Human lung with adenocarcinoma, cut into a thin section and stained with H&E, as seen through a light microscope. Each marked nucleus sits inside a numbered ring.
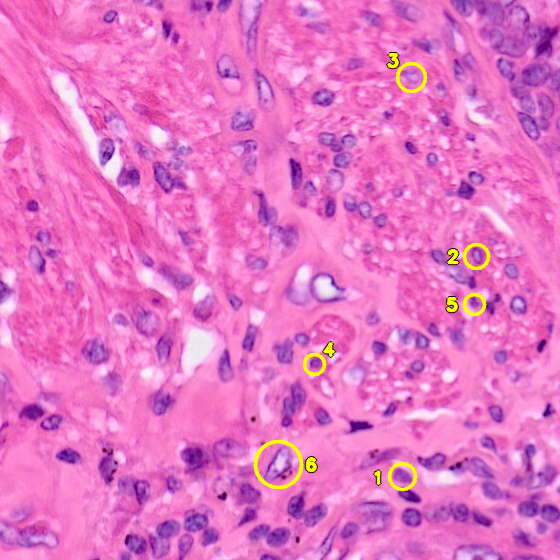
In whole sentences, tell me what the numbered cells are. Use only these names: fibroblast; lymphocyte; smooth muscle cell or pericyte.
Cell 1 is a lymphocyte. Cells 2, 3, 4 and 5 are smooth muscle cells or pericytes. Cell 6 is a fibroblast.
